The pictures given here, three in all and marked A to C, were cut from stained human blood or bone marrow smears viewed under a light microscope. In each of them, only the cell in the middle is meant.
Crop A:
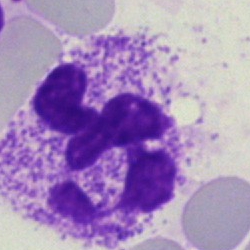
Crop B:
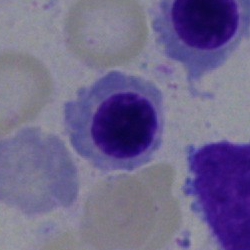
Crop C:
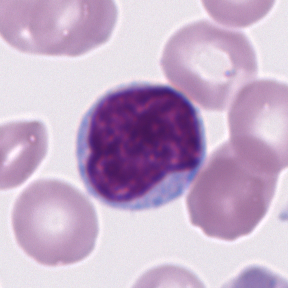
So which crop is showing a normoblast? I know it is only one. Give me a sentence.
Crop B is the crop containing a normoblast.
